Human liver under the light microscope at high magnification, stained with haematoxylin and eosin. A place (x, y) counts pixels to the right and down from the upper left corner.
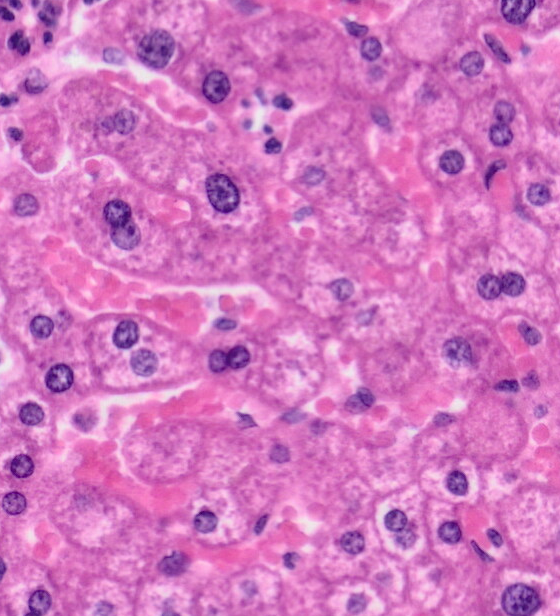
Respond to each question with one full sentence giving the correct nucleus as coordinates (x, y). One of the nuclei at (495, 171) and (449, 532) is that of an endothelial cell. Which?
Assigned to an endothelial cell is the nucleus located at (495, 171).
